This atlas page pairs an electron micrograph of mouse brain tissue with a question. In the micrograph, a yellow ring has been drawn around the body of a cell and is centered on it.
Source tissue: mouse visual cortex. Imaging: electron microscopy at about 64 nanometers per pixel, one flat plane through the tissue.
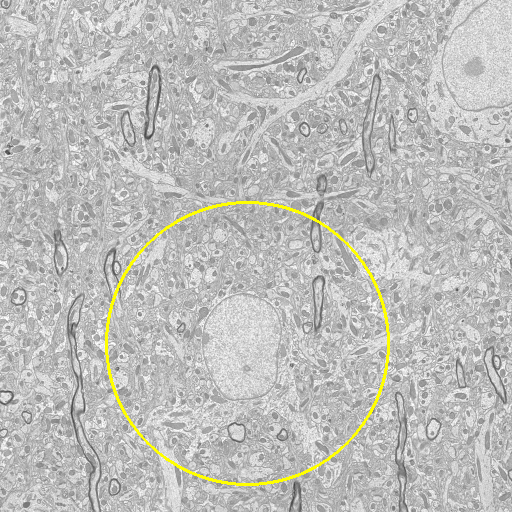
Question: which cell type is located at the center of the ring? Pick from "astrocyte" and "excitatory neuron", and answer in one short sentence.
Located at the center of the ring is an astrocyte.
